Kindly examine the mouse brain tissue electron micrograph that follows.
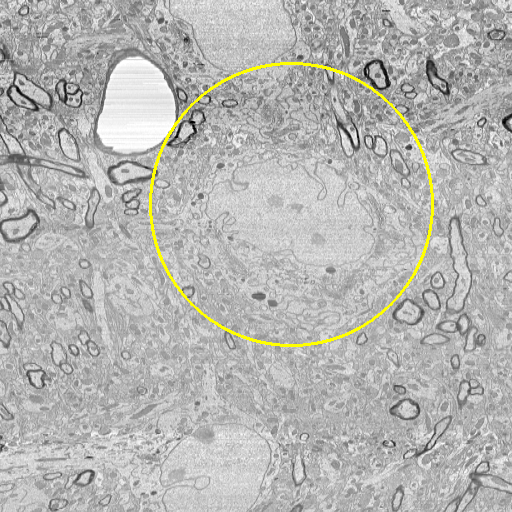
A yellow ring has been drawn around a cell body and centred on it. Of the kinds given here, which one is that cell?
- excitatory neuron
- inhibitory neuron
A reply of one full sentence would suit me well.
The micrograph's ringed cell, the one at the ring's centre, is an inhibitory neuron.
